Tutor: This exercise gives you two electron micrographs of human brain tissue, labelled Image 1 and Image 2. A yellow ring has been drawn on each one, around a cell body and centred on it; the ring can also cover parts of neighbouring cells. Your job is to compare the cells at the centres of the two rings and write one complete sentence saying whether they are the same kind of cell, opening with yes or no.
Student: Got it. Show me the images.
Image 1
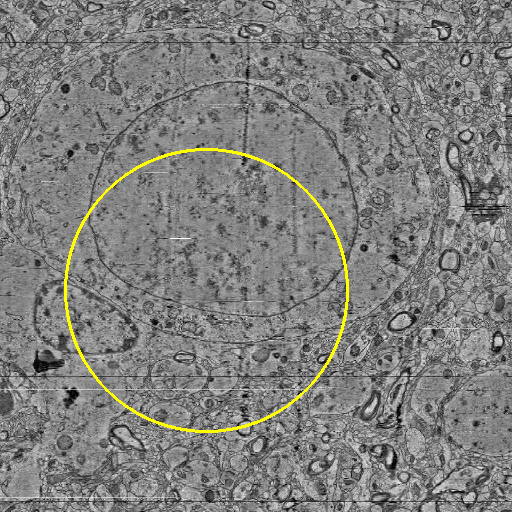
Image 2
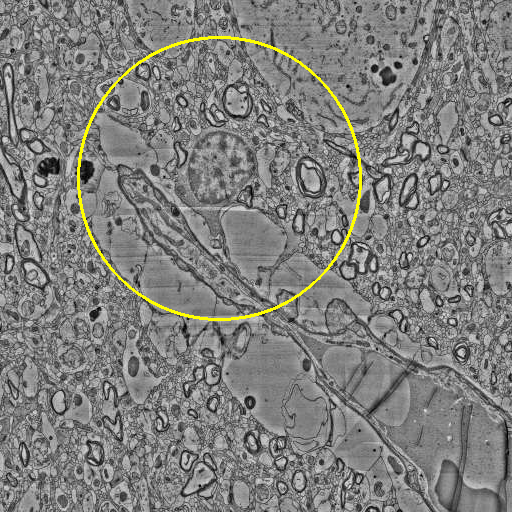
No, the two cells belong to two kinds.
